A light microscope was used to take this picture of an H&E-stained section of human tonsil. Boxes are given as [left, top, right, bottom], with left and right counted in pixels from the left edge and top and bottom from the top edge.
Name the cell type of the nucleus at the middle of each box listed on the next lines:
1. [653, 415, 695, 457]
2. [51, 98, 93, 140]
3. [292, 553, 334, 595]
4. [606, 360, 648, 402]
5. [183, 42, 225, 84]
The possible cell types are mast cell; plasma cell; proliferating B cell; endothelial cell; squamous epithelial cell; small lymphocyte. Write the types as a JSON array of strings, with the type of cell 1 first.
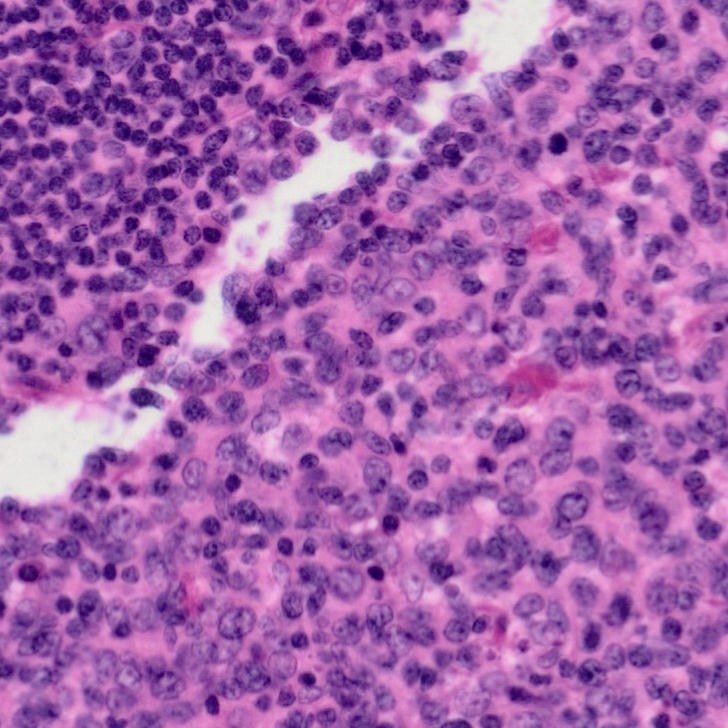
["proliferating B cell", "small lymphocyte", "proliferating B cell", "proliferating B cell", "small lymphocyte"]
